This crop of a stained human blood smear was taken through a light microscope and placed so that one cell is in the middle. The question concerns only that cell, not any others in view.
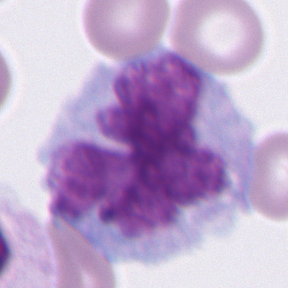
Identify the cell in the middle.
monocyte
